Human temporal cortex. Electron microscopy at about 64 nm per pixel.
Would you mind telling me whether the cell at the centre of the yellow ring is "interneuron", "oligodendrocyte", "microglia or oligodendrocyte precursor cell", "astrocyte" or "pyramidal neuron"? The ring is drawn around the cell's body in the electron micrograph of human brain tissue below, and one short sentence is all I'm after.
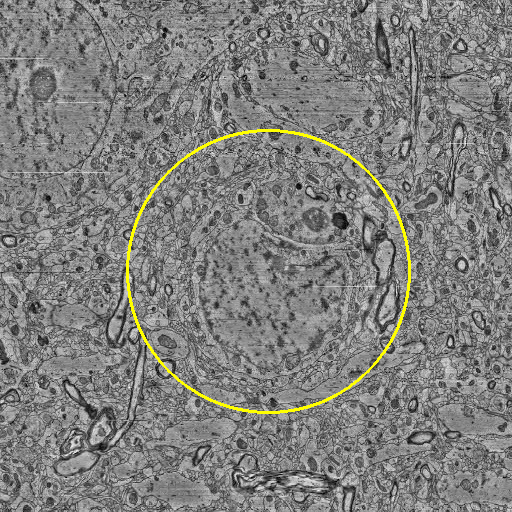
In the centre of the ring lies an interneuron.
